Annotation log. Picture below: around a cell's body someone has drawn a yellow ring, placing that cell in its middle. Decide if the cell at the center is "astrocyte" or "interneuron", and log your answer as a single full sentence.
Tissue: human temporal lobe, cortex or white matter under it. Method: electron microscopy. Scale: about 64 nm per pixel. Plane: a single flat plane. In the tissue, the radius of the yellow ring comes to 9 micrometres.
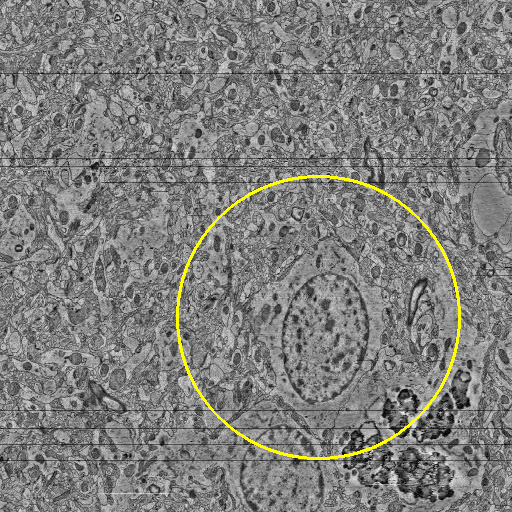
My entry records an astrocyte as the cell sitting at the center of the yellow ring.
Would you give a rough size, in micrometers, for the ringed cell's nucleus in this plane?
In this plane, about 9 by 5 micrometres: the nucleus is clearly longer than it is wide.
